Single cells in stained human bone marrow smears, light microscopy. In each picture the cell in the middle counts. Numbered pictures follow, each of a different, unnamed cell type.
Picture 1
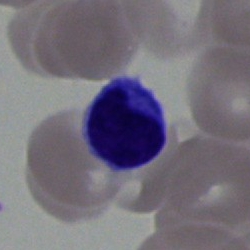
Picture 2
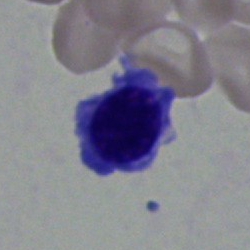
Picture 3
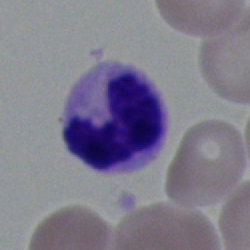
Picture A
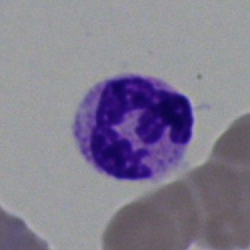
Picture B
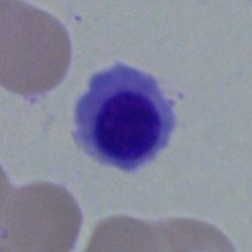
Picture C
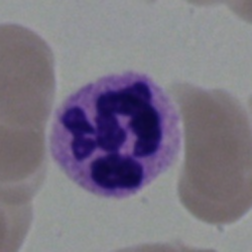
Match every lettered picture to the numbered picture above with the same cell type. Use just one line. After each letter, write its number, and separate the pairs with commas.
A 3, B 2, C 3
